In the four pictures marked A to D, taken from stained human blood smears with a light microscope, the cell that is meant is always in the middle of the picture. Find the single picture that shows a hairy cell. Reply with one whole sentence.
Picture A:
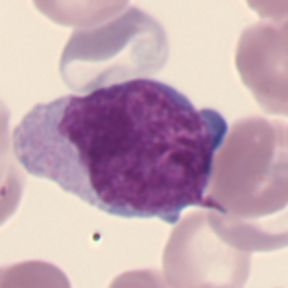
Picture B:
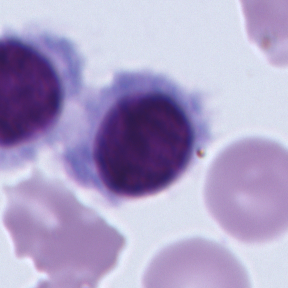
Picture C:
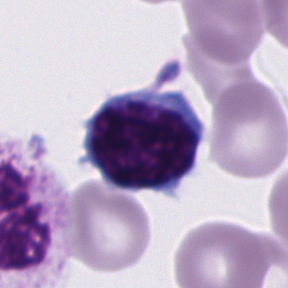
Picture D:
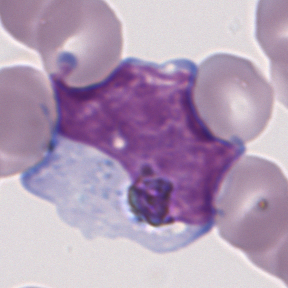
Picture B is the one that shows the hairy cell.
